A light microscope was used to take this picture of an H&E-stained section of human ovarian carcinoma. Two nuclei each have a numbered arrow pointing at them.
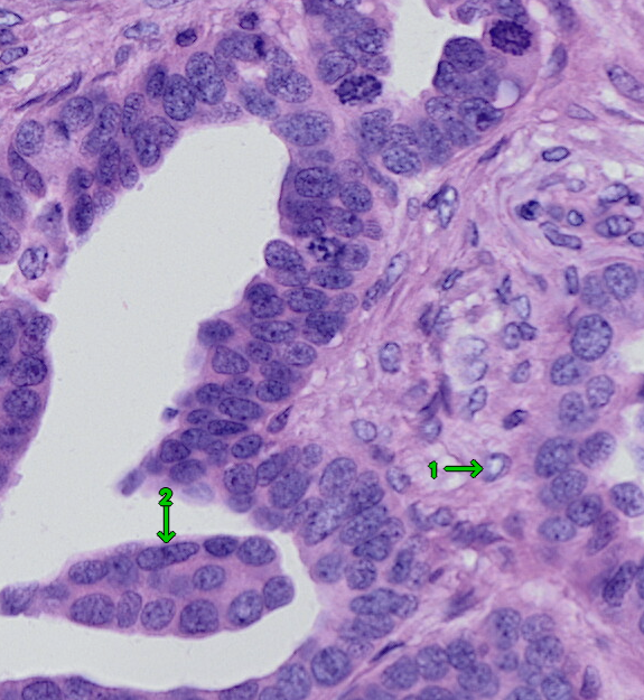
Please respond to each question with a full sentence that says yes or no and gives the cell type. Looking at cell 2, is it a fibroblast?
No, the cell at marker 2 is not a fibroblast; it is a carcinoma cell.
